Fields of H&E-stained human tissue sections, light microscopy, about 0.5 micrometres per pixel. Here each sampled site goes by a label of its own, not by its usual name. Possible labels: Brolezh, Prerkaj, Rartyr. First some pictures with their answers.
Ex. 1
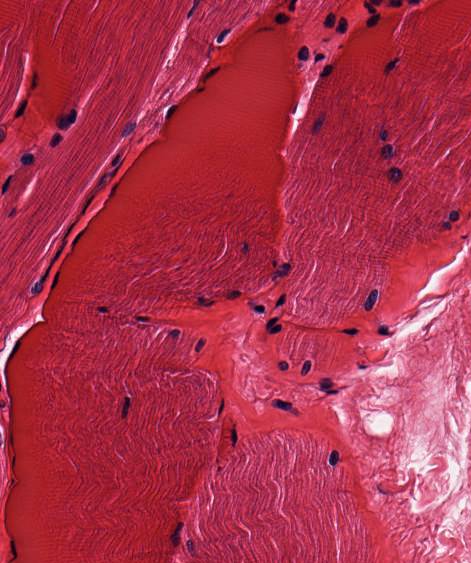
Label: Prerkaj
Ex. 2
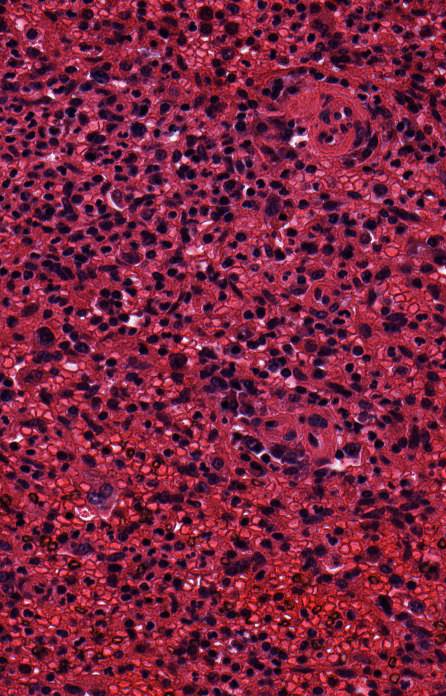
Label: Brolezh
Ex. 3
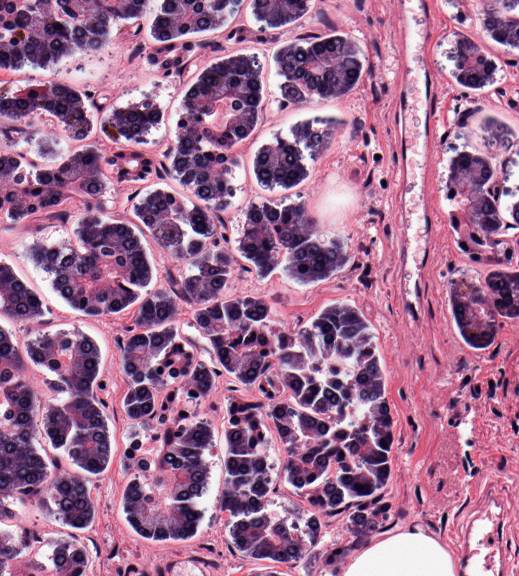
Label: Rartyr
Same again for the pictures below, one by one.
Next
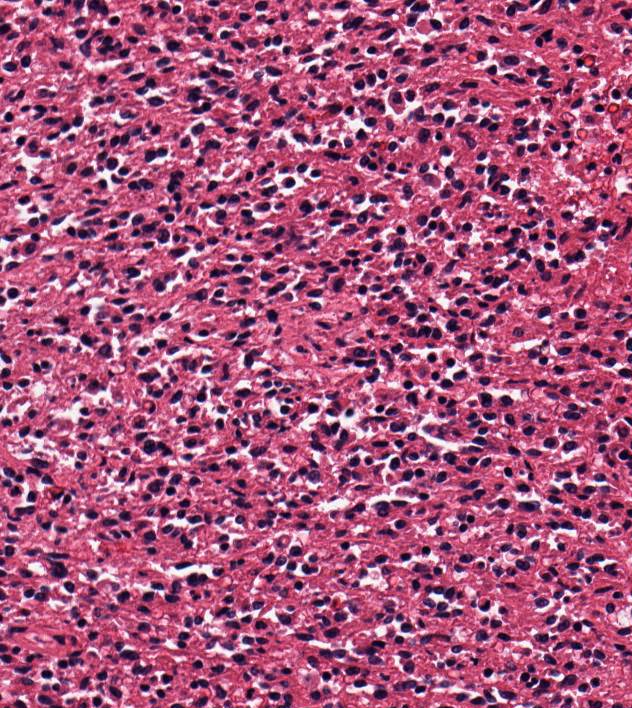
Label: Brolezh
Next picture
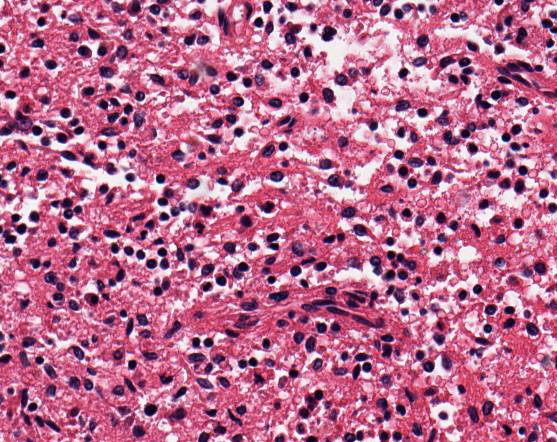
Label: Brolezh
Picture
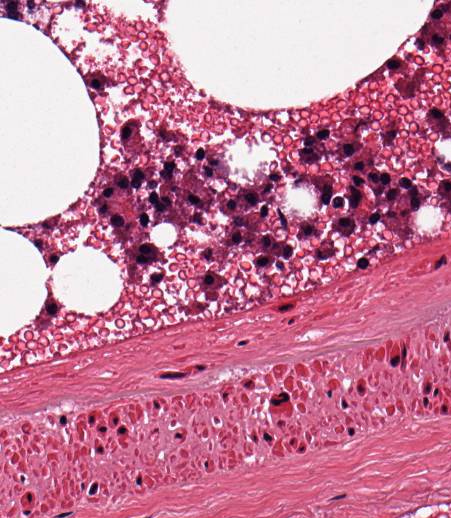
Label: Rartyr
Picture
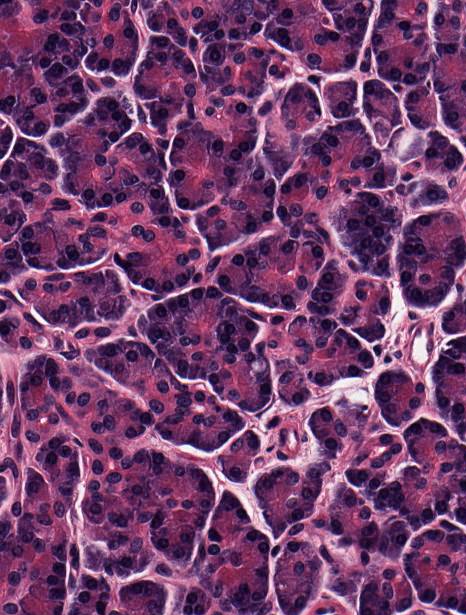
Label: Rartyr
